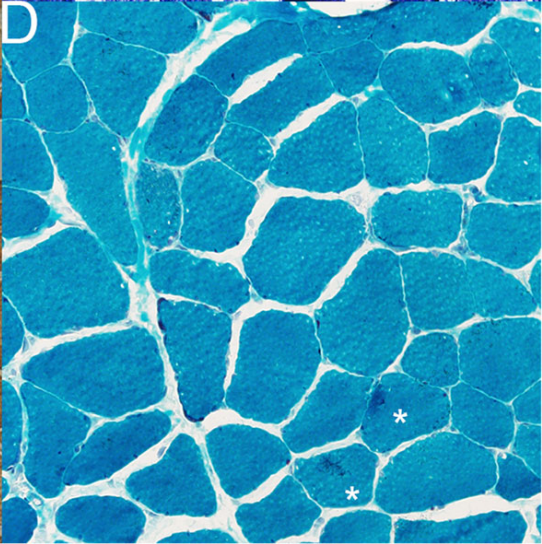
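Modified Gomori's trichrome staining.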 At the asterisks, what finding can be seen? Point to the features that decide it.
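Small dark blue-purple deposits lie inside the marked fibres. On this evidence: Aggregation in muscle fibre.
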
